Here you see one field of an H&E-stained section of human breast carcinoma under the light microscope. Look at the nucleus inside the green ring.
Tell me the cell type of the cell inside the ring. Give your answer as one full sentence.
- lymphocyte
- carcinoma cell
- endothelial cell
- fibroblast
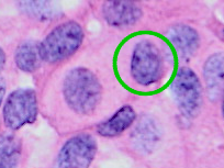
In cellular terms, the cell inside the ring is a carcinoma cell.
